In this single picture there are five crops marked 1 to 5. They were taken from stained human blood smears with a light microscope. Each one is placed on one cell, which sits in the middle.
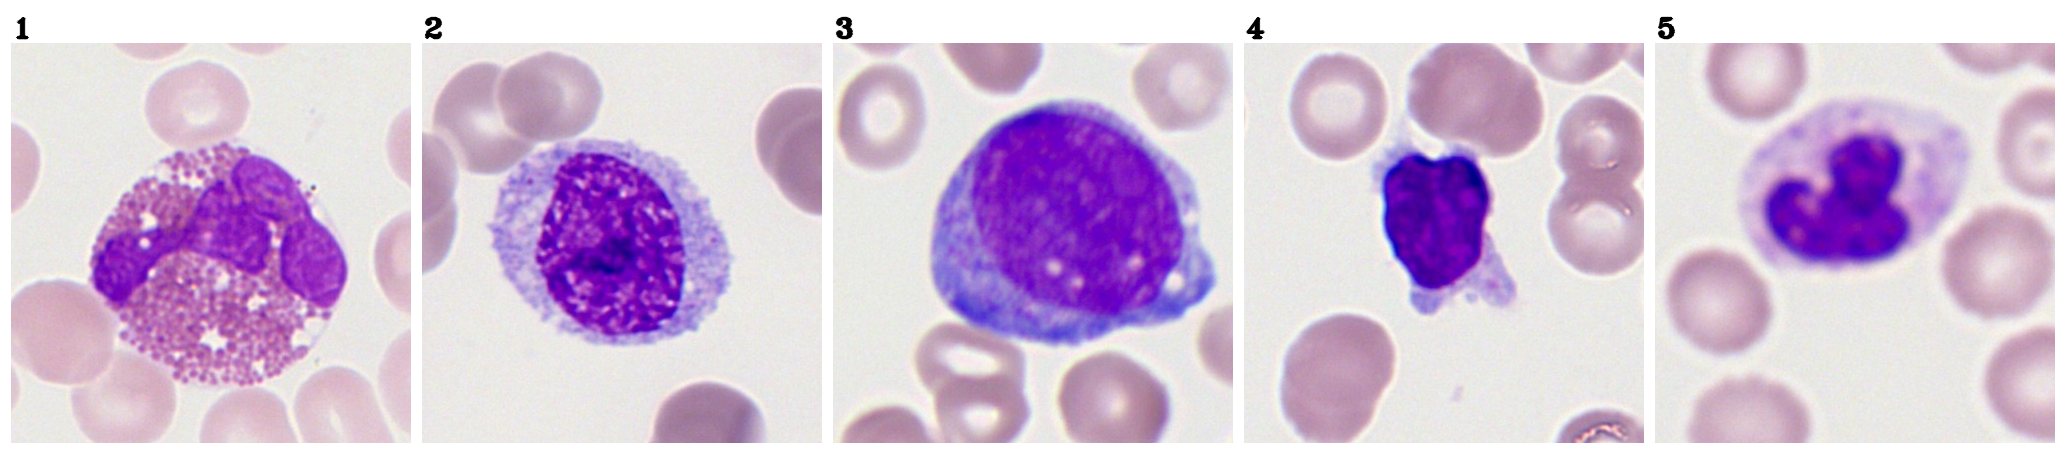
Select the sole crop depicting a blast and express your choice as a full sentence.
The crop marked 3 is the one in which a blast is shown.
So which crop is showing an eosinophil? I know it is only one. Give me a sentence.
The crop marked 1 is the one in which an eosinophil is shown.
